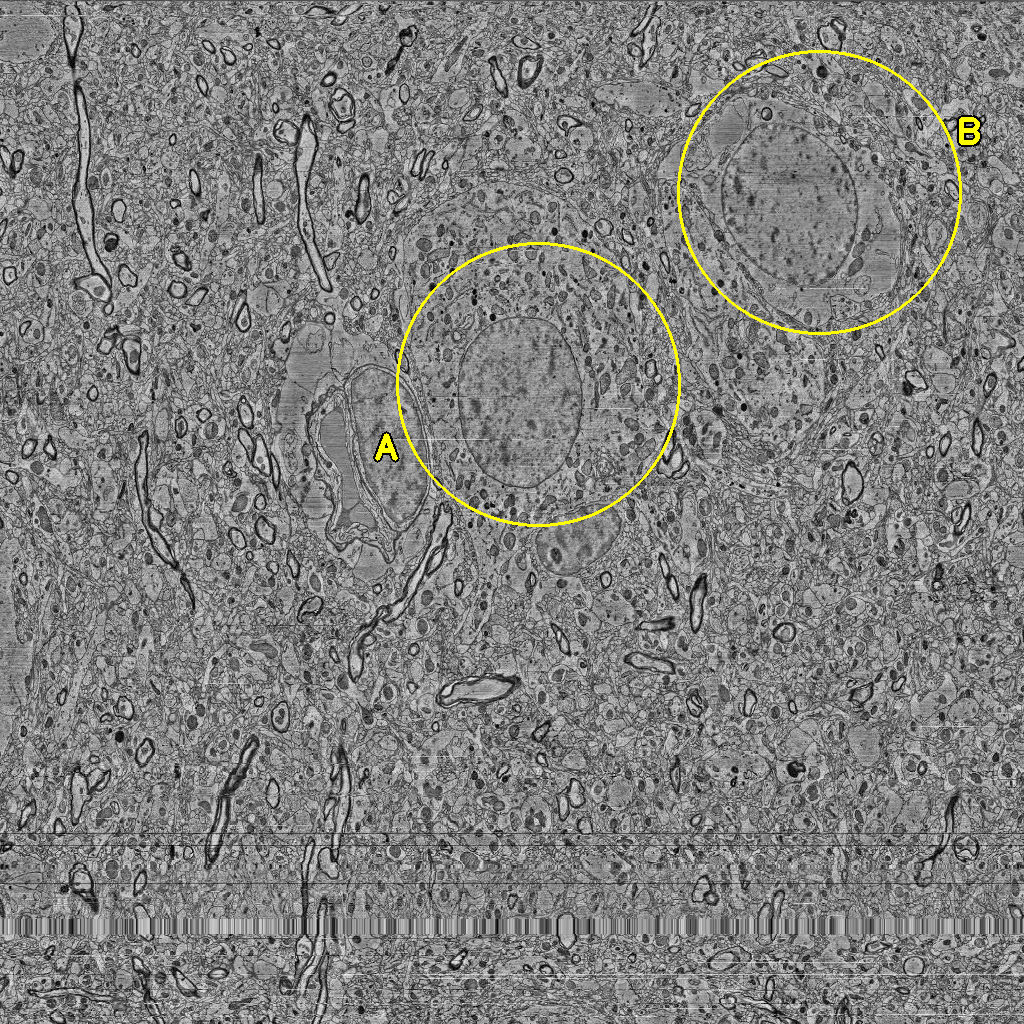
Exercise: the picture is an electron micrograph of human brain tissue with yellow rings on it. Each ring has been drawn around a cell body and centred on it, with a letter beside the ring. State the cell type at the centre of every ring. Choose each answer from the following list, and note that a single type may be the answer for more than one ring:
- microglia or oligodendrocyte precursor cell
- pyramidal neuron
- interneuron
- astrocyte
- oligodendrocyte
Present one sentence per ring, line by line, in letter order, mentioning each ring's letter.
Ring A shows an interneuron at its centre.
Ring B shows an astrocyte at its centre.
